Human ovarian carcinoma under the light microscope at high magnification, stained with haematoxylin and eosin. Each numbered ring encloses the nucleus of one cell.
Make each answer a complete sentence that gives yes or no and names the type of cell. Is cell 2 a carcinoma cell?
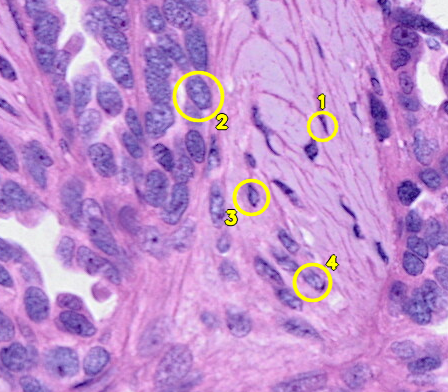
Yes, that is correct: the cell numbered 2 is a carcinoma cell.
